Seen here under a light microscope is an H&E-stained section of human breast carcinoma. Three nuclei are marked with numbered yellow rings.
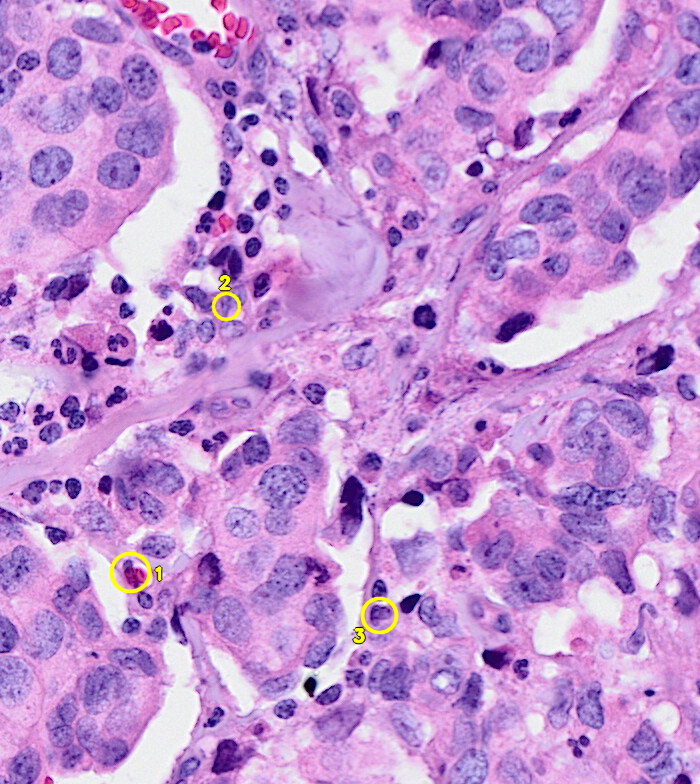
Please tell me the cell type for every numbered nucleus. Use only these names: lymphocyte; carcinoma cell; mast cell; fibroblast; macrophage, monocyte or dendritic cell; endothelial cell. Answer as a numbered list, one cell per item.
1. endothelial cell
2. endothelial cell
3. lymphocyte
